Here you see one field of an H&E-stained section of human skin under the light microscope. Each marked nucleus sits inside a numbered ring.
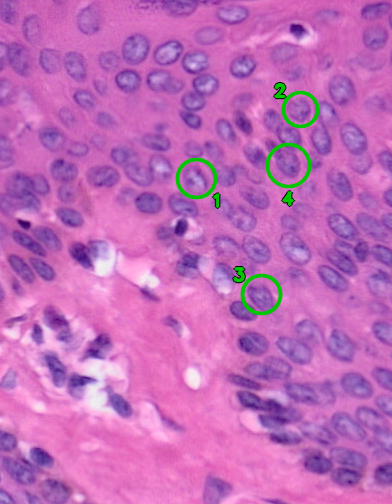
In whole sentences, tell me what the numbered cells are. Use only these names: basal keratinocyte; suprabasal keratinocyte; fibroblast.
Cell 1 is a suprabasal keratinocyte, cell 2 is a suprabasal keratinocyte, cell 3 is a basal keratinocyte and cell 4 is a suprabasal keratinocyte.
